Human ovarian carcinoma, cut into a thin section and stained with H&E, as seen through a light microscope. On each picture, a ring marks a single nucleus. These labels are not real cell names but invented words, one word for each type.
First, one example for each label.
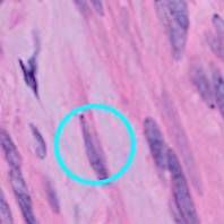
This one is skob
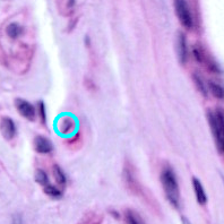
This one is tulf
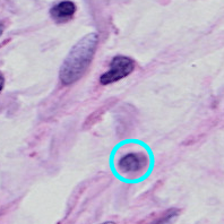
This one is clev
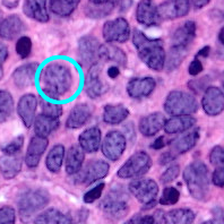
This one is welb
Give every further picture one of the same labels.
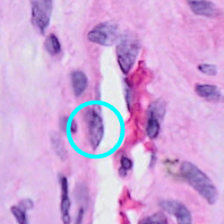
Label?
tulf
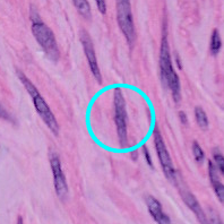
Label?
skob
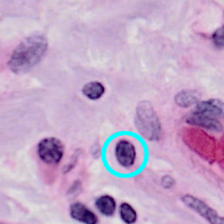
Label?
clev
